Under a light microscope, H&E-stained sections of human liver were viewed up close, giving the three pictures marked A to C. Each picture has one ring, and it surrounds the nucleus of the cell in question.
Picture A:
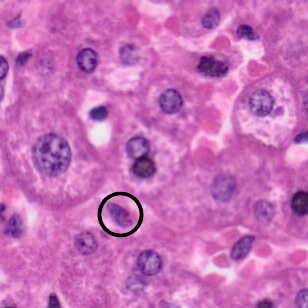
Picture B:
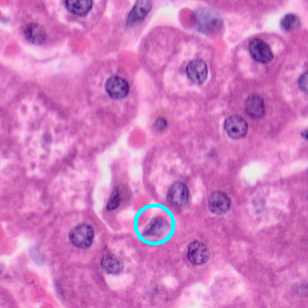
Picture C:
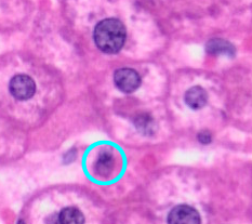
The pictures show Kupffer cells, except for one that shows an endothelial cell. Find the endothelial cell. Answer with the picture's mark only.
B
